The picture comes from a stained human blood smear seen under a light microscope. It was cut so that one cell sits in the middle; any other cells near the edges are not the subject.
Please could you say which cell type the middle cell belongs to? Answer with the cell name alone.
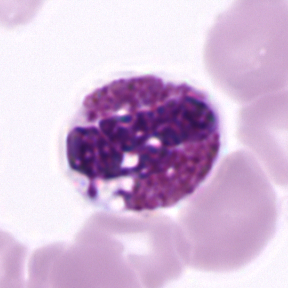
eosinophil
